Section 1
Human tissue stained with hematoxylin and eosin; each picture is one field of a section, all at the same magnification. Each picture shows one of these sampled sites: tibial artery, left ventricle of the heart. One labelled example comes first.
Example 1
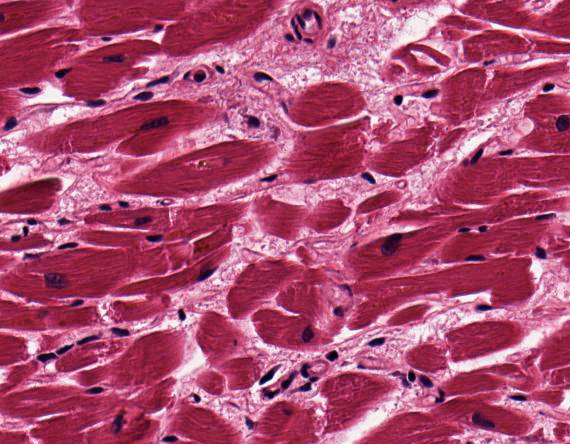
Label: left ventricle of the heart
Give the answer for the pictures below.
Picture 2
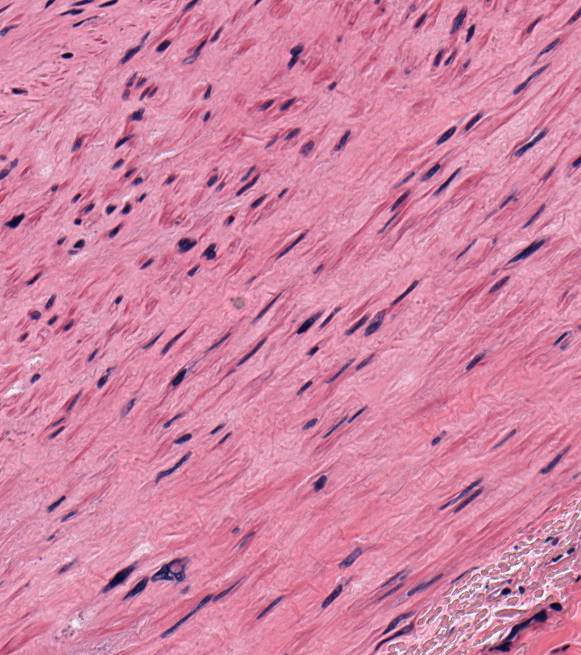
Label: tibial artery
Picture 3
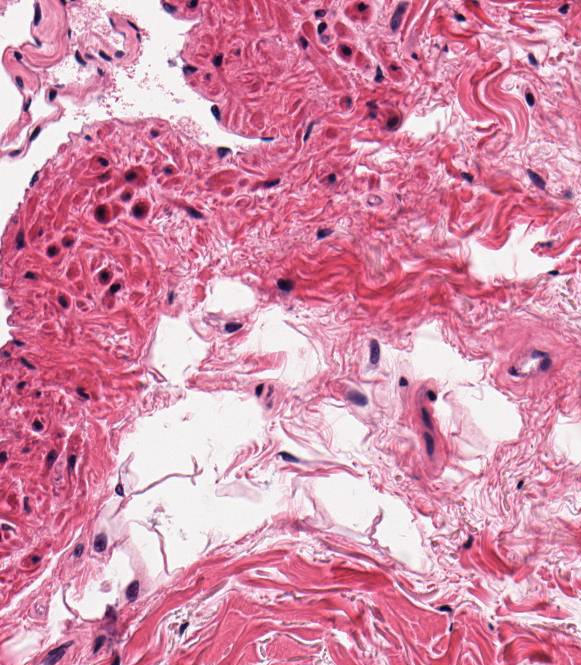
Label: tibial artery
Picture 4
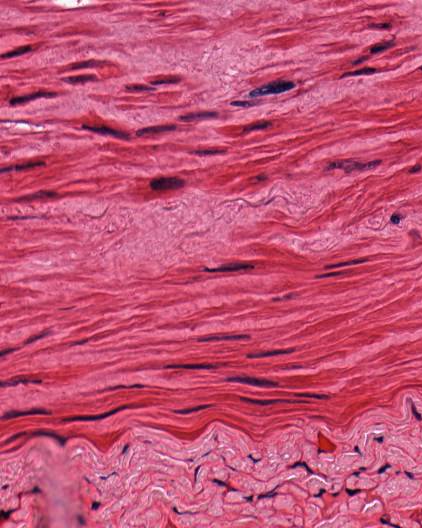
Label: tibial artery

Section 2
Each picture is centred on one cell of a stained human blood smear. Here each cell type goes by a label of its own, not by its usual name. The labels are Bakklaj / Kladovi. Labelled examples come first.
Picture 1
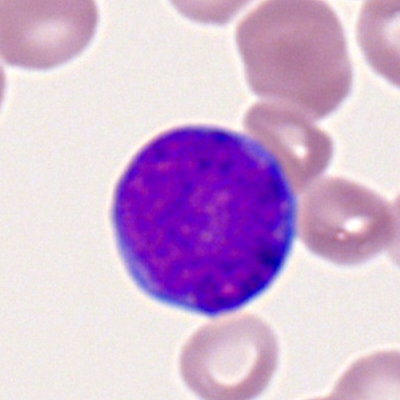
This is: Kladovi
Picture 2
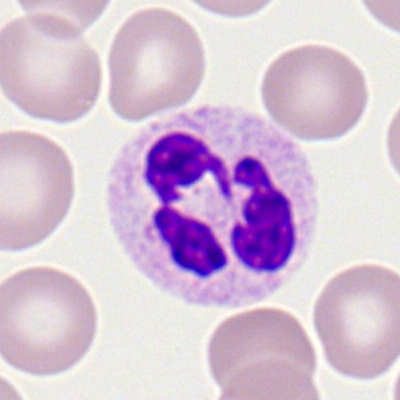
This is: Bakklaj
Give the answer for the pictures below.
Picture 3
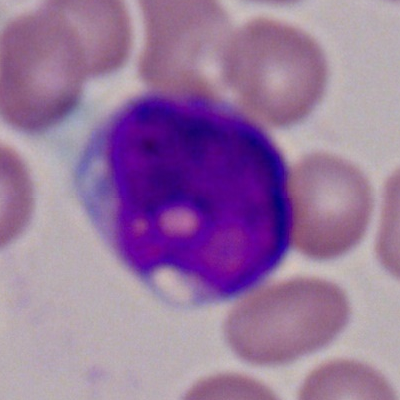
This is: Kladovi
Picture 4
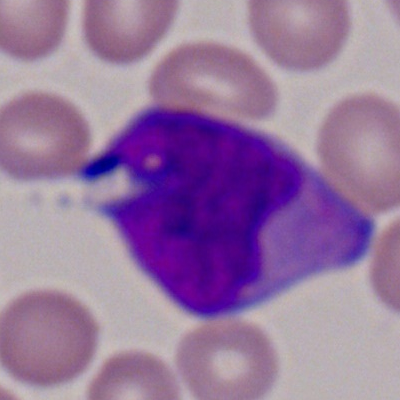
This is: Kladovi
